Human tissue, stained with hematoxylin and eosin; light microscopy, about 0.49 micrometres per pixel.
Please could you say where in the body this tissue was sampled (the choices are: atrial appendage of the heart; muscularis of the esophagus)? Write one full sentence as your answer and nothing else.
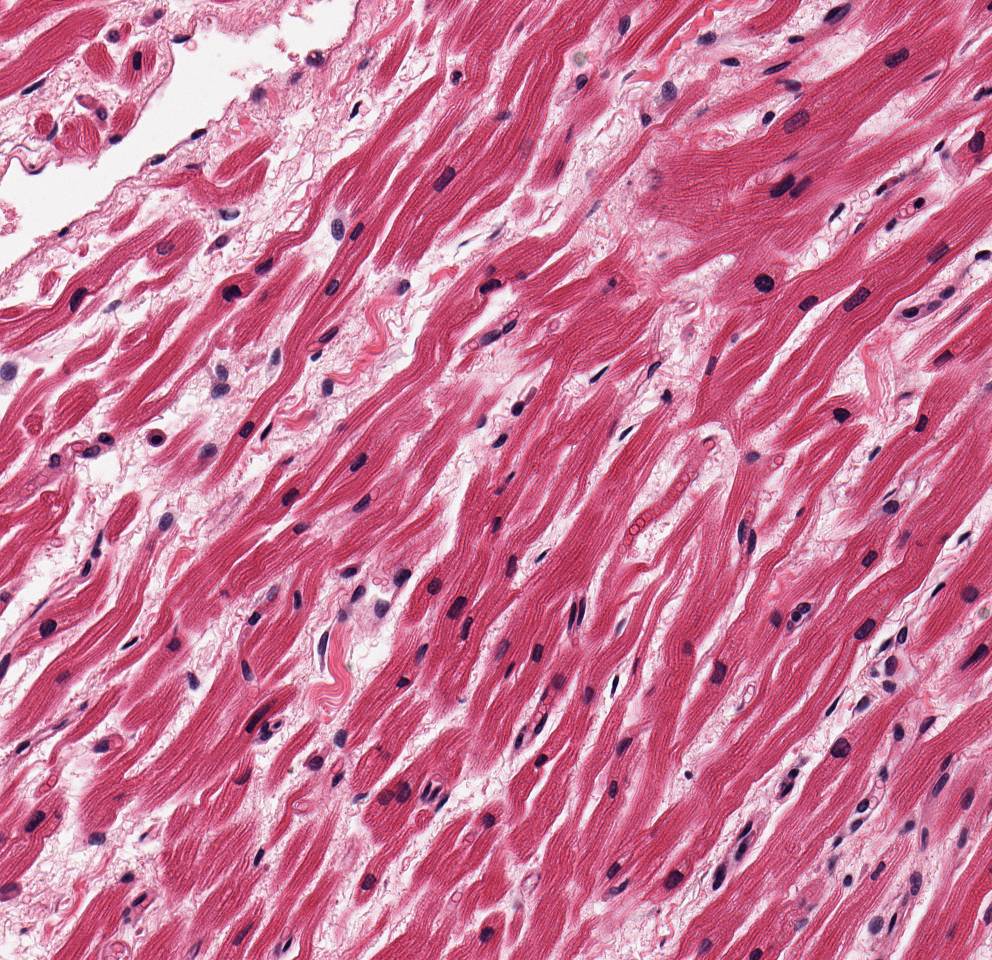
It is the atrial appendage of the heart from which this tissue was sampled.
